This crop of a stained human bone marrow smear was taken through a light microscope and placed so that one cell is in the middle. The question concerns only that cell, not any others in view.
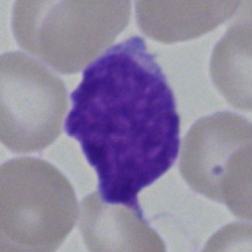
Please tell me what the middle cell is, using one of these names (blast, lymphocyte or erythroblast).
blast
